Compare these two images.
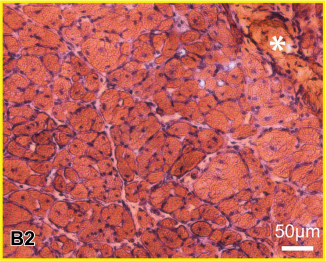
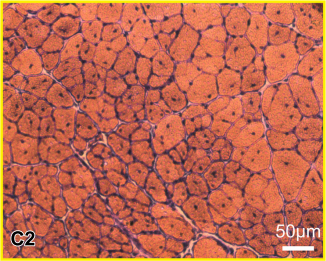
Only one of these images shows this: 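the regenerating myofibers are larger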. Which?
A: the second image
